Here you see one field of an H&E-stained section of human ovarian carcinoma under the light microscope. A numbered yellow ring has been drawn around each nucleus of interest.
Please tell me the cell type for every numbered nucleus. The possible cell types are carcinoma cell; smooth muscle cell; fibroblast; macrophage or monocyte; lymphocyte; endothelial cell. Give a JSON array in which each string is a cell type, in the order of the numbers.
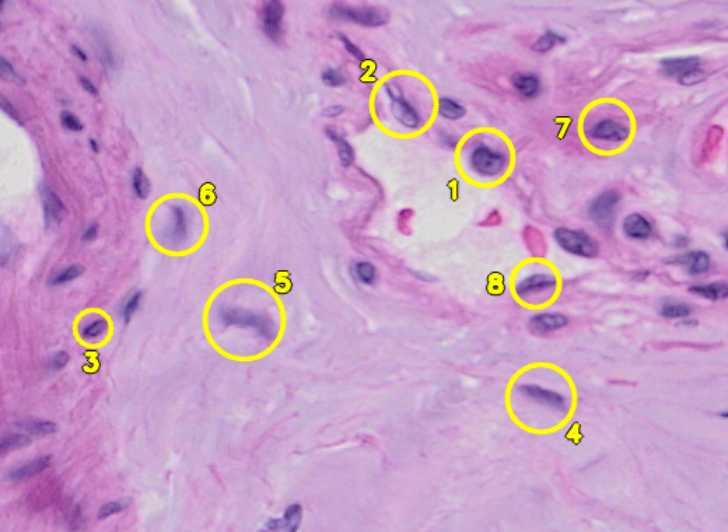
["endothelial cell", "endothelial cell", "smooth muscle cell", "fibroblast", "fibroblast", "fibroblast", "smooth muscle cell", "endothelial cell"]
